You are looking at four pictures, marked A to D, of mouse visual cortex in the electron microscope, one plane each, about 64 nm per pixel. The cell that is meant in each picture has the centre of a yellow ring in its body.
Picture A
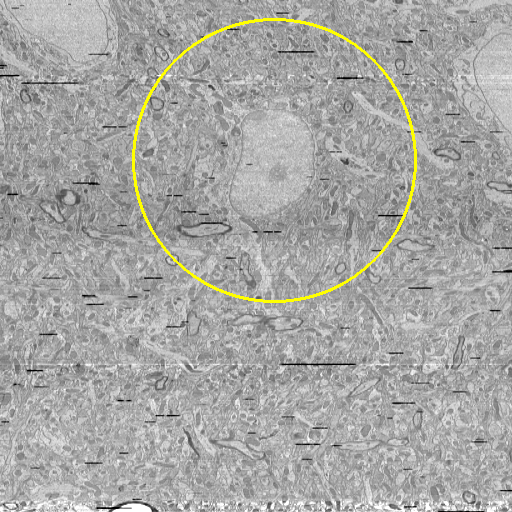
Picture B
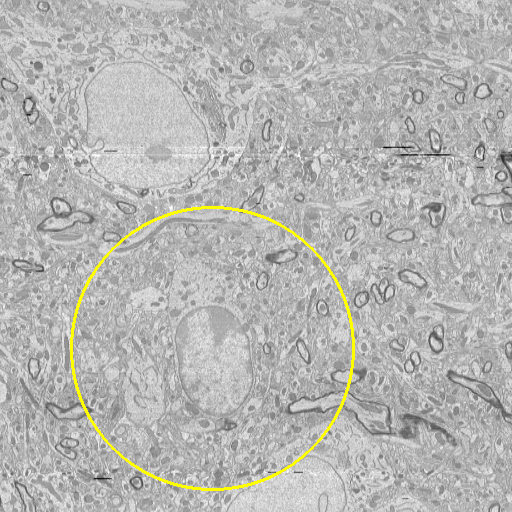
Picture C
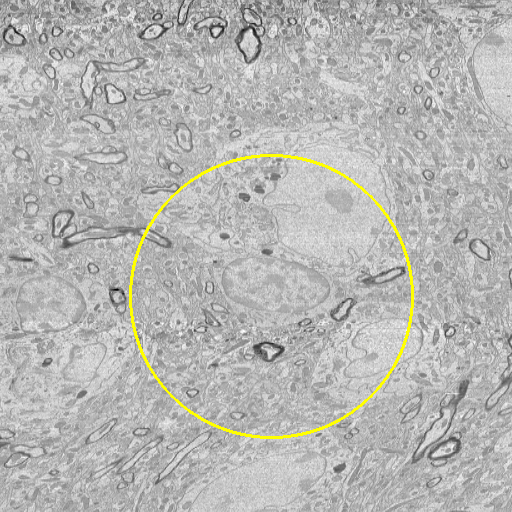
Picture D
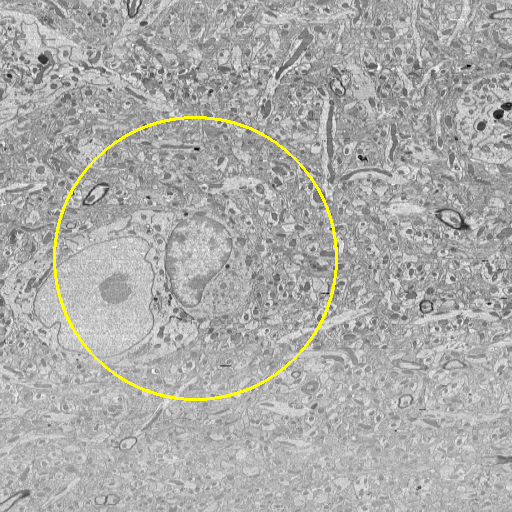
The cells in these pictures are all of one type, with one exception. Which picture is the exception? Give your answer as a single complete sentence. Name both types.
The different one is picture A; it shows an astrocyte, whereas all the others show oligodendrocytes.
